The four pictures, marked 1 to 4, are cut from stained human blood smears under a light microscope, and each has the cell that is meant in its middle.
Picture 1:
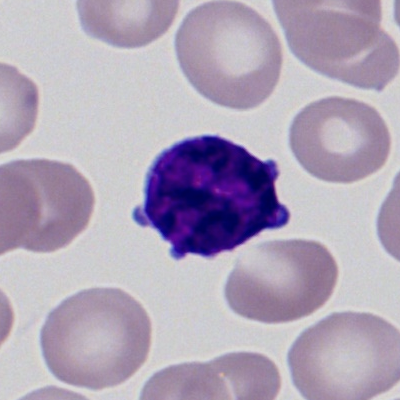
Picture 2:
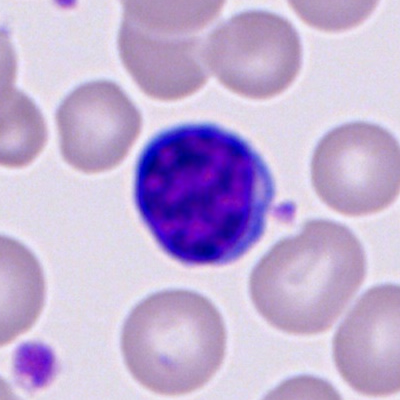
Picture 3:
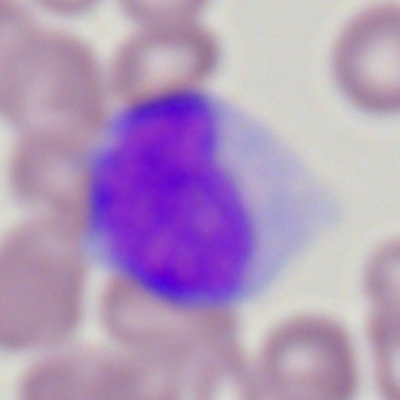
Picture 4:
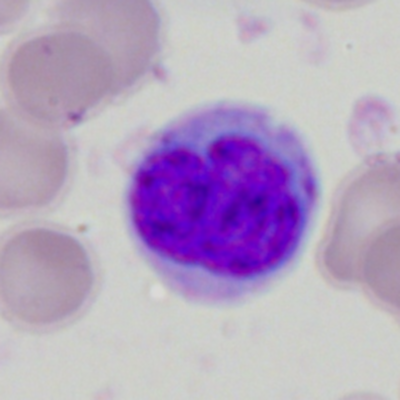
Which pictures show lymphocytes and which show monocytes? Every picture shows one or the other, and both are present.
1: lymphocyte
2: lymphocyte
3: monocyte
4: monocyte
